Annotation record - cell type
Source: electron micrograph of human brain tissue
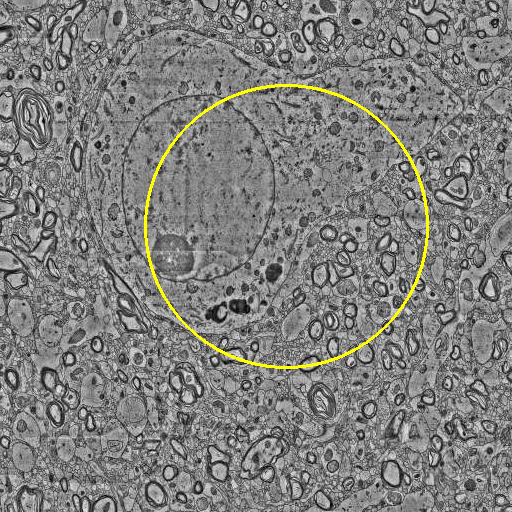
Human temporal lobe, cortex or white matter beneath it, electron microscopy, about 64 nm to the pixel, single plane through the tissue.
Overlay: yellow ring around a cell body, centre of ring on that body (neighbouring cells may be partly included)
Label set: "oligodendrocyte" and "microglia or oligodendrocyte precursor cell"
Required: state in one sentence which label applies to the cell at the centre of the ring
This cell should be labelled as an oligodendrocyte.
